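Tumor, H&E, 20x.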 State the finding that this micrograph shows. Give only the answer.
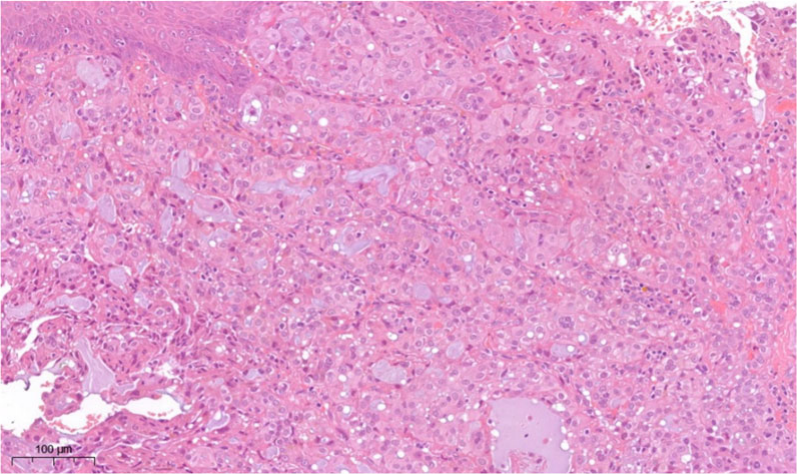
Solid areas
